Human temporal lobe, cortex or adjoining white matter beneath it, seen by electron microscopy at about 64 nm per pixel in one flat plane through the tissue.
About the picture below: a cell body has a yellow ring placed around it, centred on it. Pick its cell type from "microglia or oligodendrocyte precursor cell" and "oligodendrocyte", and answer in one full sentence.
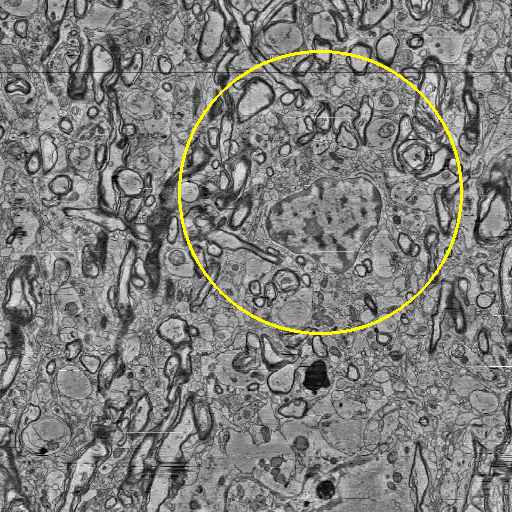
In the picture, a microglial cell or oligodendrocyte precursor cell is the cell sitting at the centre of the yellow ring.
